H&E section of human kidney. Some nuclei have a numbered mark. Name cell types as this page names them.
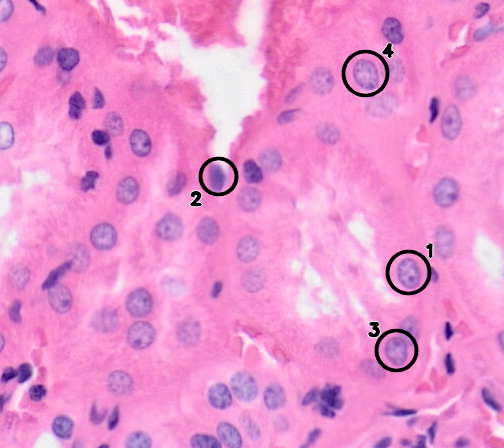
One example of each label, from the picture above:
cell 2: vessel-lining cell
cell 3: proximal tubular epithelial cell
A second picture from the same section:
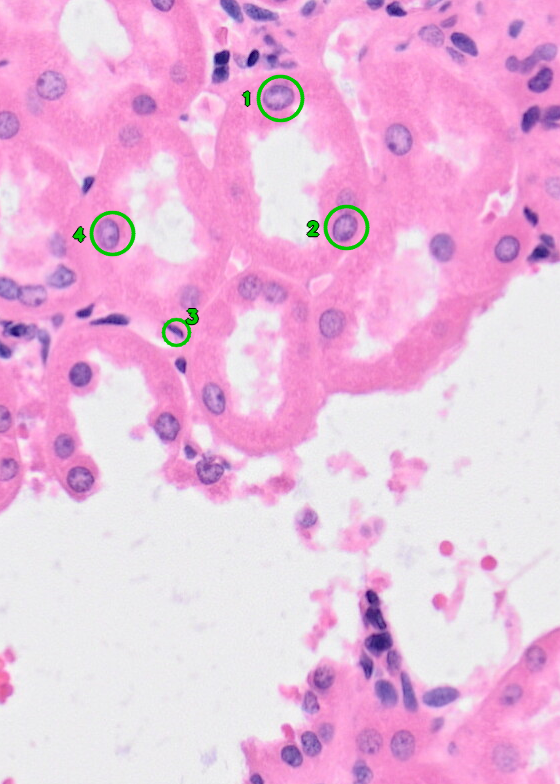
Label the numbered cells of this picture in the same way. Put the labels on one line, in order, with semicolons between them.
proximal tubular epithelial cell; proximal tubular epithelial cell; vessel-lining cell; proximal tubular epithelial cell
